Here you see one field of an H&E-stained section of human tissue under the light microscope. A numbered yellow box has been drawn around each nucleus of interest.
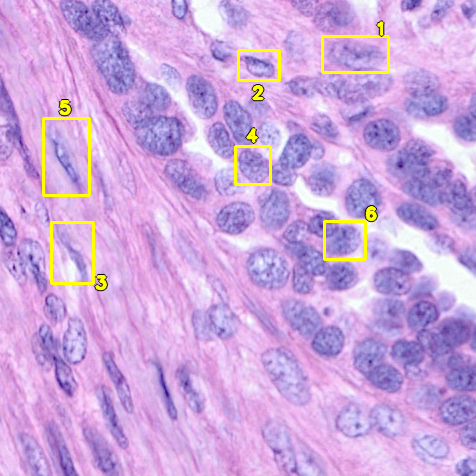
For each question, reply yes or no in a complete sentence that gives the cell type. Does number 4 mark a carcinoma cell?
Yes, the cell that goes by number 4 is a carcinoma cell.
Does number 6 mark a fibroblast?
No, as for cell 6, it is a carcinoma cell and not a fibroblast.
